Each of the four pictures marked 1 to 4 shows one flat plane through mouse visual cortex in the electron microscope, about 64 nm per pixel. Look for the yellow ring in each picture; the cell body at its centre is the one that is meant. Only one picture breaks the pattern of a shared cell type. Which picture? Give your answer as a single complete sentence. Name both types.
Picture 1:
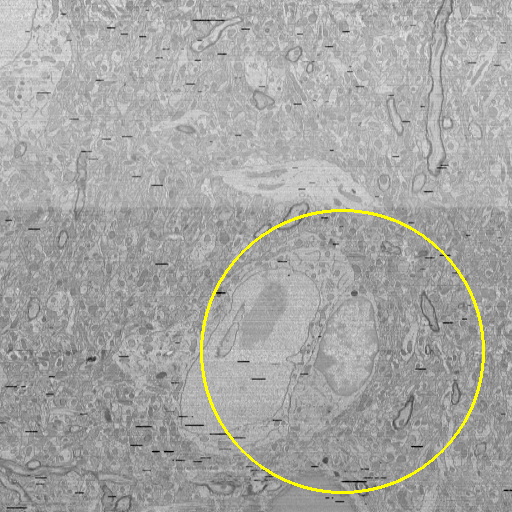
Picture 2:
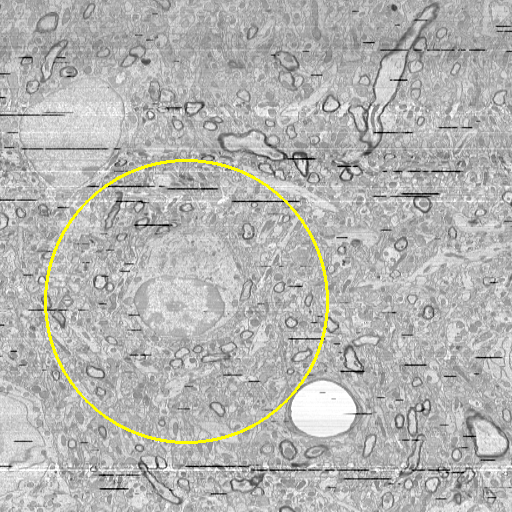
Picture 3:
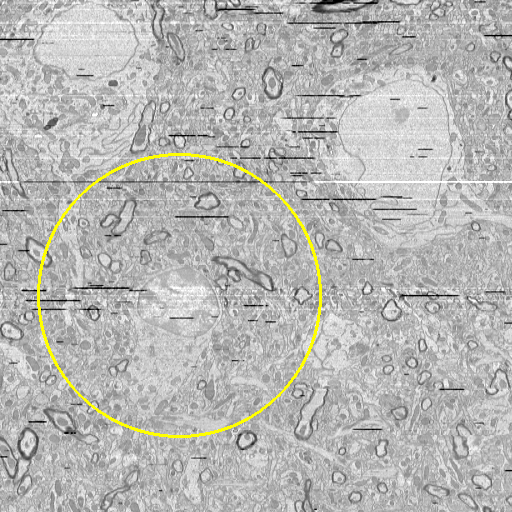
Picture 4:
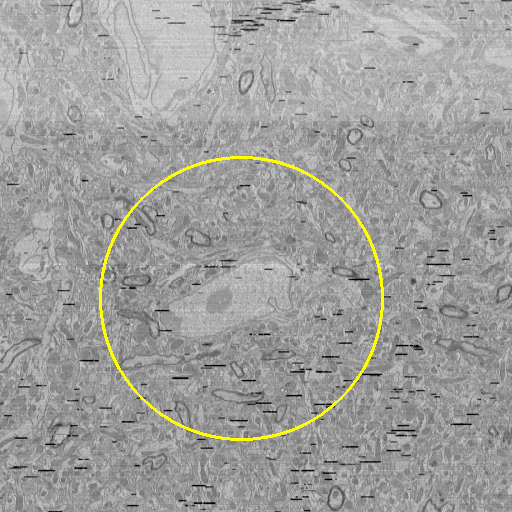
Picture 4 is the odd one out: it shows an oligodendrocyte precursor cell, while the others show oligodendrocytes.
